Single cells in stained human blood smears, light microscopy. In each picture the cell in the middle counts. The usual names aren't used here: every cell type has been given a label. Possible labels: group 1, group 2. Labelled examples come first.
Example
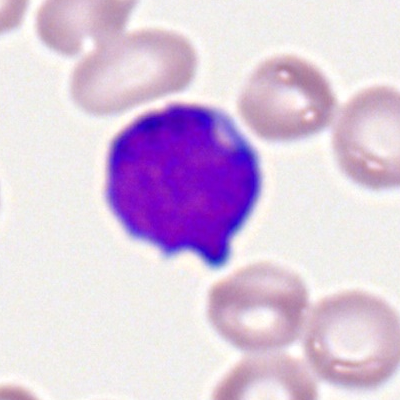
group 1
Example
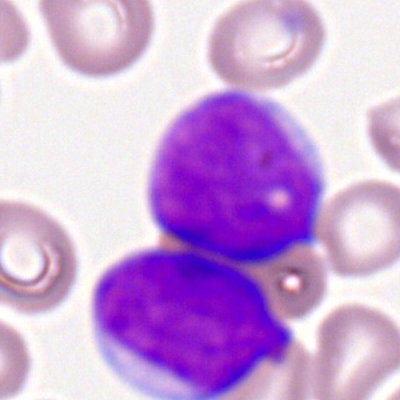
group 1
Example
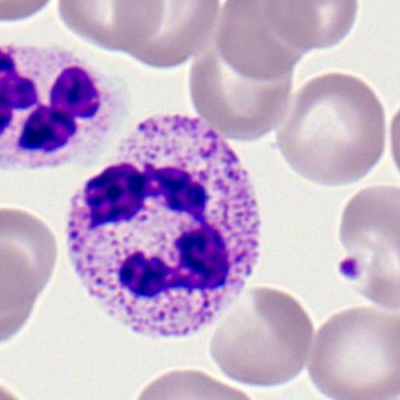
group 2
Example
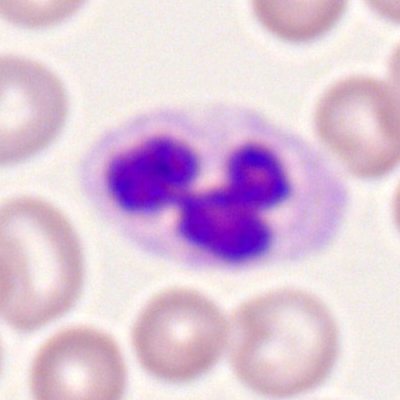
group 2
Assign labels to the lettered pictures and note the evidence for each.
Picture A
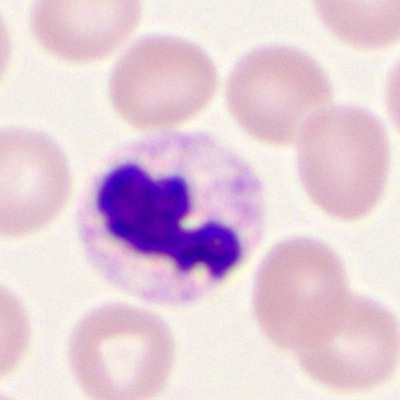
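group 2: Plentiful pale pinkish cytoplasm surrounds the nucleus on all sides.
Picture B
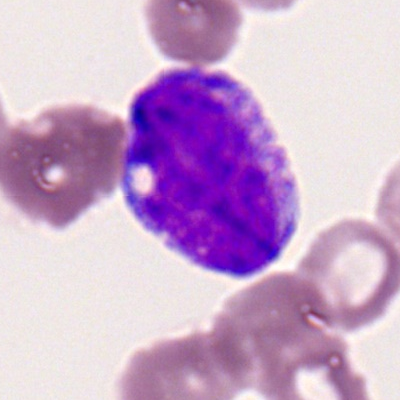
group 1: The nucleus fills almost the whole cell.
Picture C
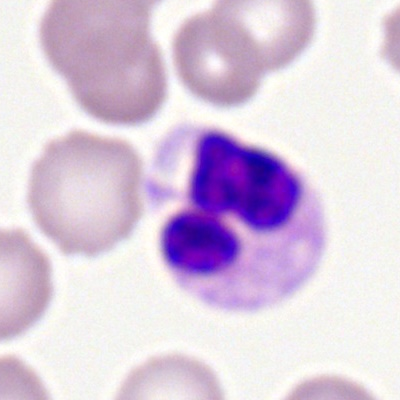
group 2: The nucleus is divided into two lobes.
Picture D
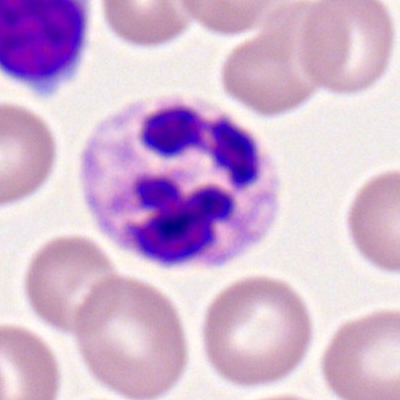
group 2: The cytoplasm is plentiful and pale pink-lilac.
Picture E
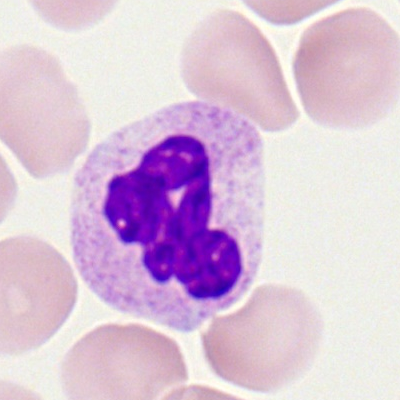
group 2: Abundant pale pinkish-lilac cytoplasm surrounds the nucleus on all sides.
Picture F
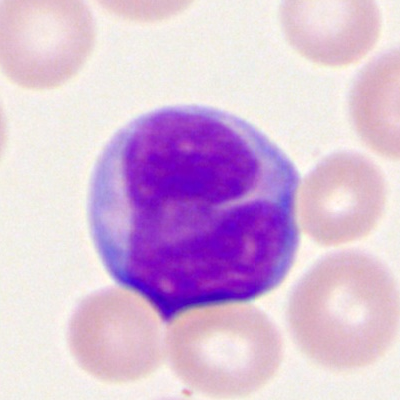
group 1: The nucleus fills most of the cell.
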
